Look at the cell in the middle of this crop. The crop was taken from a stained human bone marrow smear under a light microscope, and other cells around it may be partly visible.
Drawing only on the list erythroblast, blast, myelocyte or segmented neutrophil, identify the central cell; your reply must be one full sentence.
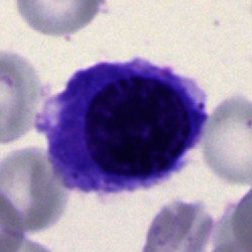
The centrally placed cell is classified as an erythroblast.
